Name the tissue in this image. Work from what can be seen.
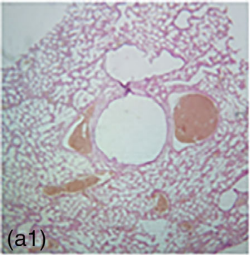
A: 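Lungs. A lace-like network of many small thin-walled air spaces fills the section. A large round empty lumen lies in the centre, flanked by vessels filled with orange-red blood.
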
